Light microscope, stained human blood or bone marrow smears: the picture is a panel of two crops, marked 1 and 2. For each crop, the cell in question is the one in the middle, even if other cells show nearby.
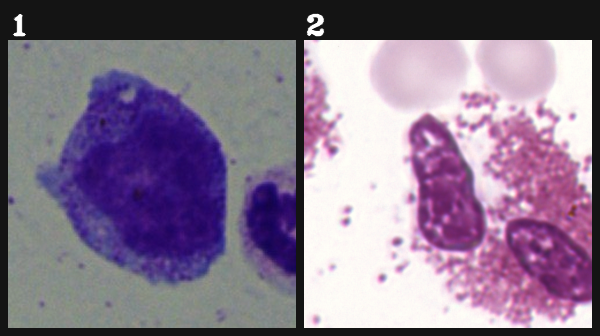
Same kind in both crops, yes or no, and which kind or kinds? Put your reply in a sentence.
No, crop 1 shows a myelocyte, with an eosinophil shown in crop 2.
